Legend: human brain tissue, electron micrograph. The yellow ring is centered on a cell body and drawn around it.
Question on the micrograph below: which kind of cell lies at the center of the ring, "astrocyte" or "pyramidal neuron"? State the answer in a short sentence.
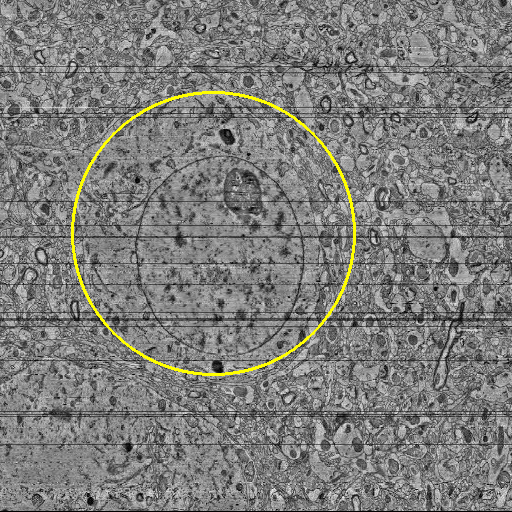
At the center of the ring lies a pyramidal neuron.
